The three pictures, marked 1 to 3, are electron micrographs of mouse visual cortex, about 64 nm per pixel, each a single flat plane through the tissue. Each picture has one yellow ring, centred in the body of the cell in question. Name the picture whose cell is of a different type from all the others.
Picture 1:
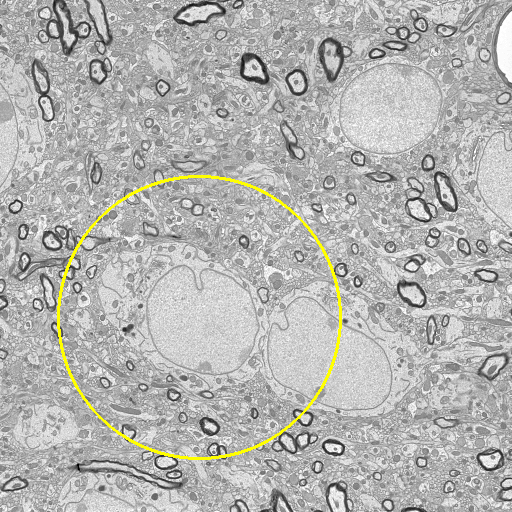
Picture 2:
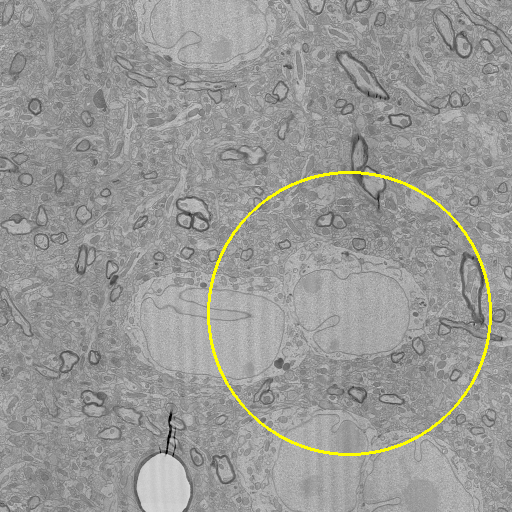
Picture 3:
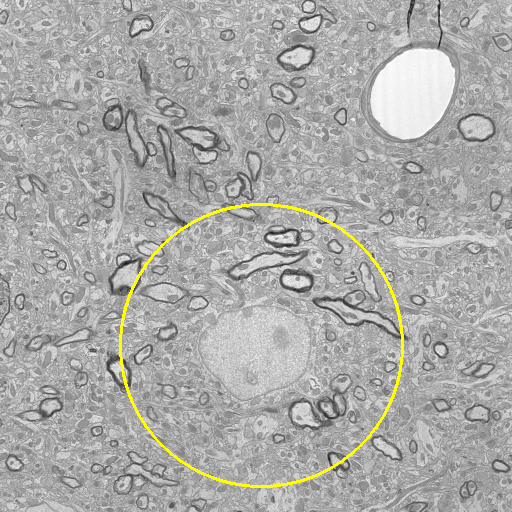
Unlike the rest, which show excitatory neurons, picture 3 shows an astrocyte.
